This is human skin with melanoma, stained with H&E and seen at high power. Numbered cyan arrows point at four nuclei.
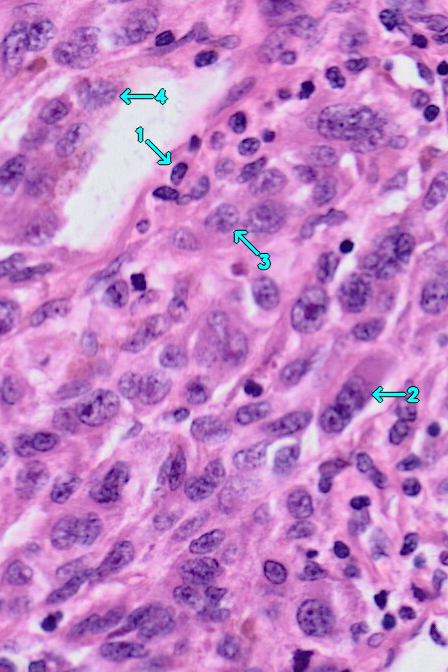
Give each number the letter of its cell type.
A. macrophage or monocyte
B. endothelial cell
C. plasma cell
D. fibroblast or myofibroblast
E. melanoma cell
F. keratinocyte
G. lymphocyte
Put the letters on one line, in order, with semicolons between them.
G; E; E; E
